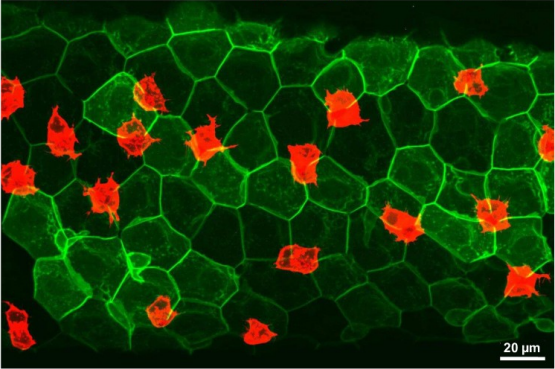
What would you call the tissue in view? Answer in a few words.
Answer: skin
